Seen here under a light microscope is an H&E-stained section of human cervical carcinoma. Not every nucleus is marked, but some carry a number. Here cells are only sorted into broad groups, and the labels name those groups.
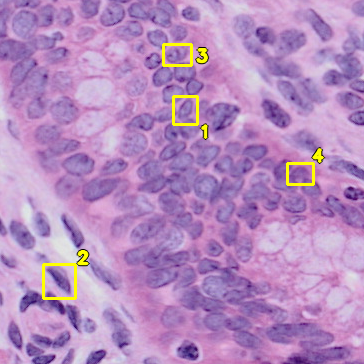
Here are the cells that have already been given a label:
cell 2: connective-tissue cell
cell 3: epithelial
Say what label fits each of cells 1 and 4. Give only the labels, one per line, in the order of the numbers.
epithelial
epithelial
